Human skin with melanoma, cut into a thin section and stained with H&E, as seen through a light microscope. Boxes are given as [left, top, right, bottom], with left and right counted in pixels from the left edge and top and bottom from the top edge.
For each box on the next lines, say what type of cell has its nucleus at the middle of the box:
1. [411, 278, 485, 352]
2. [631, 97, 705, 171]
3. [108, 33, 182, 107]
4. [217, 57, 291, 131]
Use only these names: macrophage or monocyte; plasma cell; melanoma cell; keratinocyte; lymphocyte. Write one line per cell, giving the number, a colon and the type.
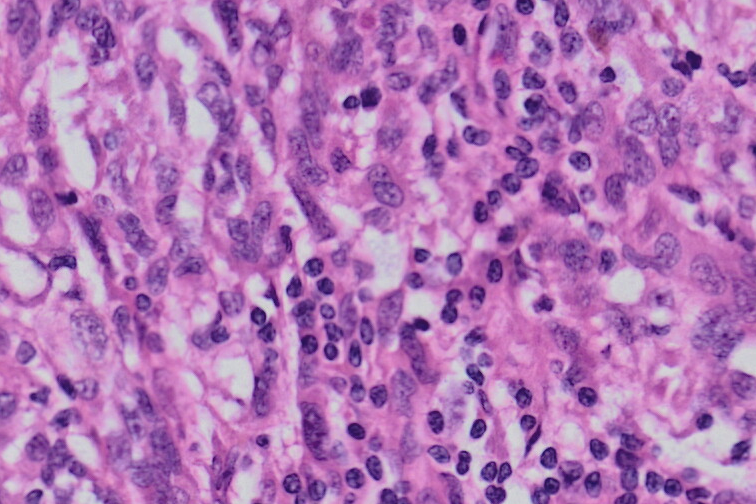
1: lymphocyte
2: melanoma cell
3: melanoma cell
4: melanoma cell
